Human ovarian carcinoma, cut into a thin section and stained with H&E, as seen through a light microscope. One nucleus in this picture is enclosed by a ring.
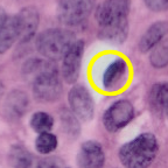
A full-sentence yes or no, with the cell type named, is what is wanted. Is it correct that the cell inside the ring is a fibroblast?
No, the cell inside the ring does not represent a fibroblast; it represents a carcinoma cell.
